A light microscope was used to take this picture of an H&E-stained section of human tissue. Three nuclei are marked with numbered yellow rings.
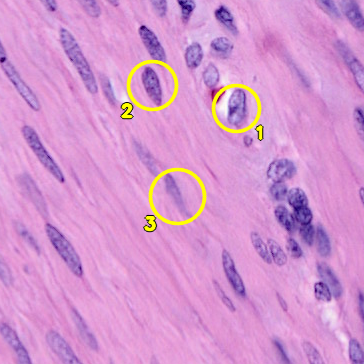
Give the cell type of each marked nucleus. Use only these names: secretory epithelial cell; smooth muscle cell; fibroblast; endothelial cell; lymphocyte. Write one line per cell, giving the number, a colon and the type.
1: endothelial cell
2: fibroblast
3: fibroblast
